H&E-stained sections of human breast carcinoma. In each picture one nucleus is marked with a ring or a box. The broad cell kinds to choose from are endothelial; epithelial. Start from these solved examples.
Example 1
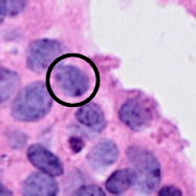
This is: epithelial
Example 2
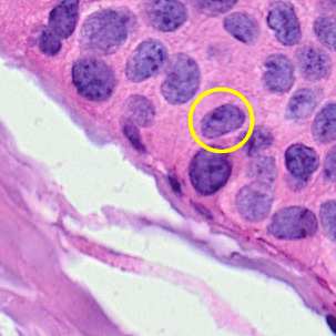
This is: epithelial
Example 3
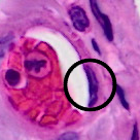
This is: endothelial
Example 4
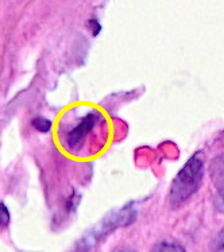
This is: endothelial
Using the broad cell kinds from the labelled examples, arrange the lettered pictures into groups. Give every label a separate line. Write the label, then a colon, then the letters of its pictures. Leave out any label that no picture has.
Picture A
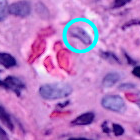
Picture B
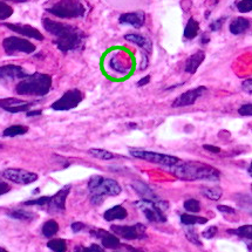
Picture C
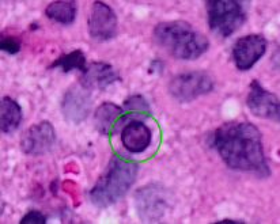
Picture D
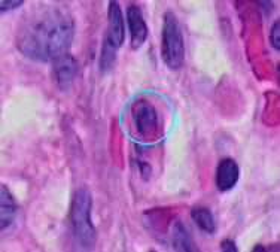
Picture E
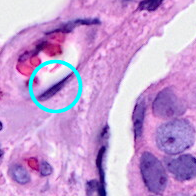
endothelial: A, B, D, E
epithelial: C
